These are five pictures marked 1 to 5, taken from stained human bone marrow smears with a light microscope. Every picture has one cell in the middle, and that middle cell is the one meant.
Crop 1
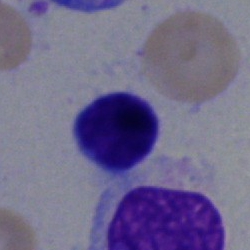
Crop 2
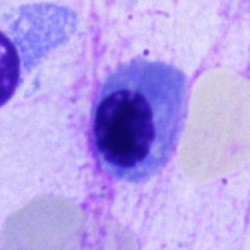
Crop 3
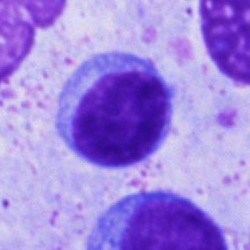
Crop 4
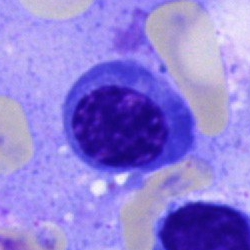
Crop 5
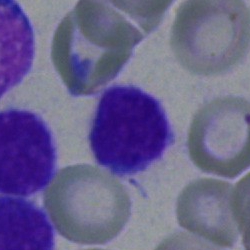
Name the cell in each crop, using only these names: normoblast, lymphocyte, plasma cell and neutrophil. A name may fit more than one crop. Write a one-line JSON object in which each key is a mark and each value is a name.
{"1": "lymphocyte", "2": "normoblast", "3": "lymphocyte", "4": "normoblast", "5": "lymphocyte"}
